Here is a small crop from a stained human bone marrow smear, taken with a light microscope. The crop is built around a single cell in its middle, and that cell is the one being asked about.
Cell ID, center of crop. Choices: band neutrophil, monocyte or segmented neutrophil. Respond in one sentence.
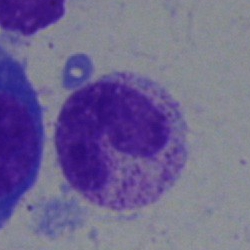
Centred in the crop is a band neutrophil.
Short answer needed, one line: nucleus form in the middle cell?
What stands out is a nucleus forming one compact round, oval or kidney-shaped mass.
